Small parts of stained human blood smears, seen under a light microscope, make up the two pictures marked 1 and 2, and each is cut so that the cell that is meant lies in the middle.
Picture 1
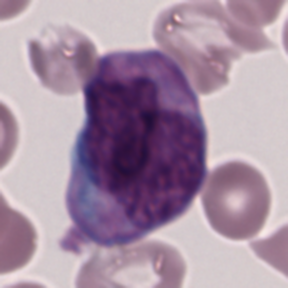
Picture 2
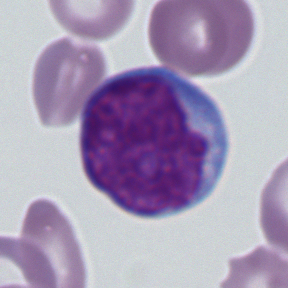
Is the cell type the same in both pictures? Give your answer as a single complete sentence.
No, they differ: the cell is an atypical promyelocyte in picture 1 and a myeloblast in picture 2.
